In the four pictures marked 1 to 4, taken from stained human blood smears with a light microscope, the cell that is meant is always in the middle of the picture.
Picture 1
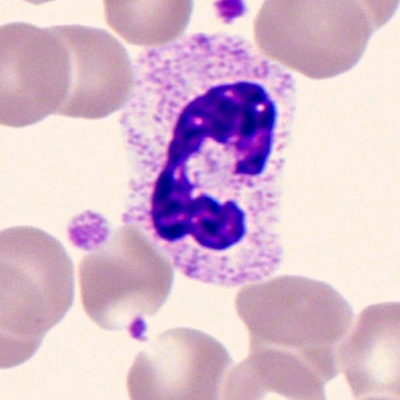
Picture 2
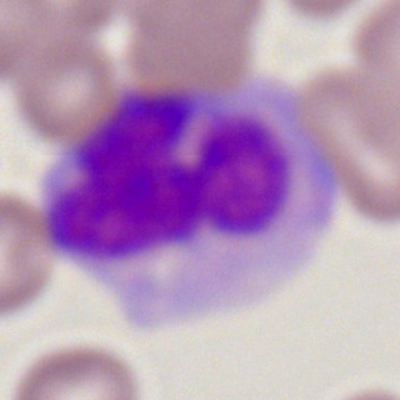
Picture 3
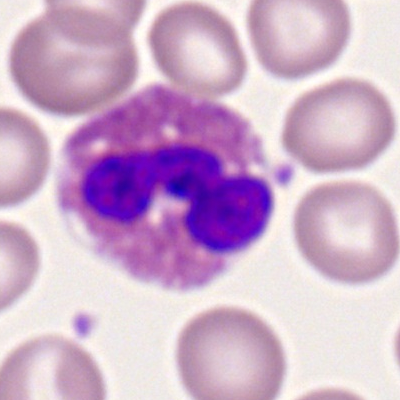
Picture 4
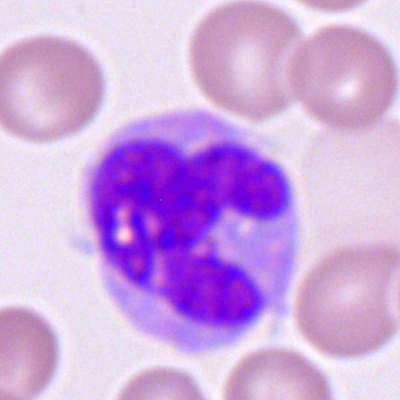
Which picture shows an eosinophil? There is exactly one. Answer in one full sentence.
It is picture 3 that shows the eosinophil.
